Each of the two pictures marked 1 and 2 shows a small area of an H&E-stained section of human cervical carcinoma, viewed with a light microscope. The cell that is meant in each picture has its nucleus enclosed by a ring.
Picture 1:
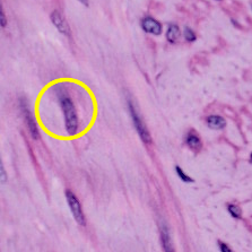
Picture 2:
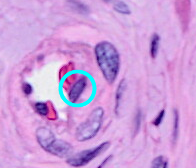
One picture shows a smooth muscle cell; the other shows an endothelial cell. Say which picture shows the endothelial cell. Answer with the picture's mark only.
2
